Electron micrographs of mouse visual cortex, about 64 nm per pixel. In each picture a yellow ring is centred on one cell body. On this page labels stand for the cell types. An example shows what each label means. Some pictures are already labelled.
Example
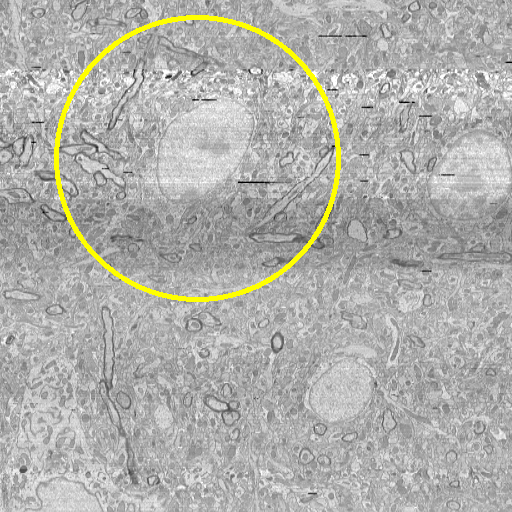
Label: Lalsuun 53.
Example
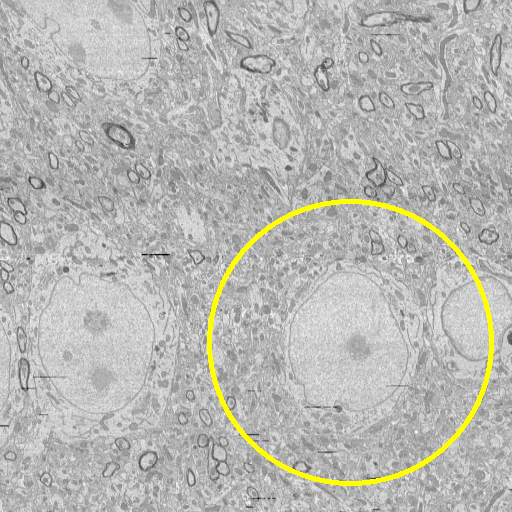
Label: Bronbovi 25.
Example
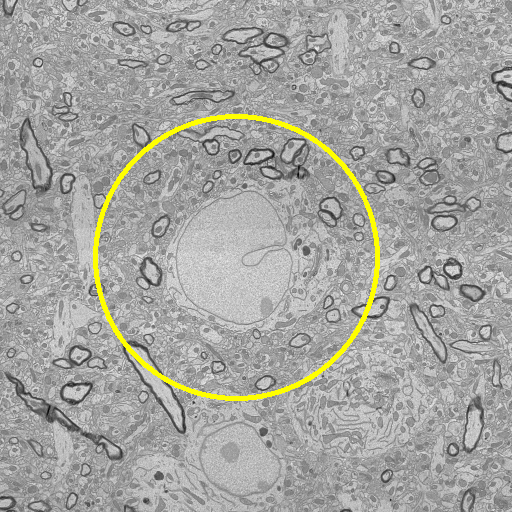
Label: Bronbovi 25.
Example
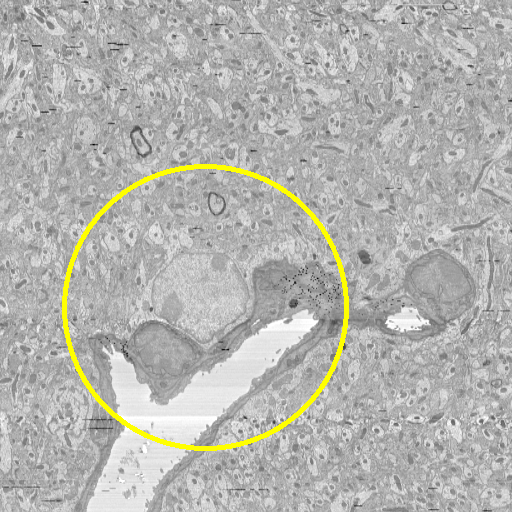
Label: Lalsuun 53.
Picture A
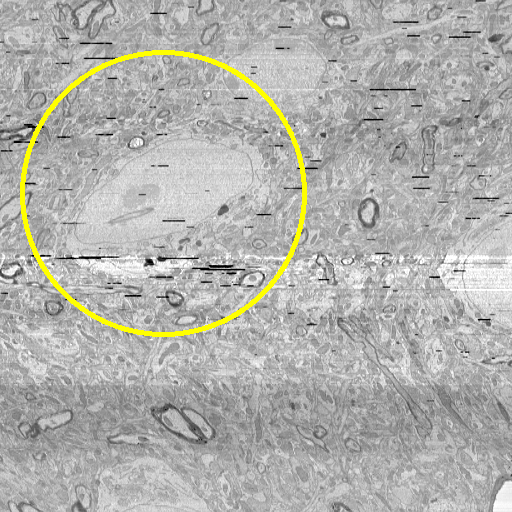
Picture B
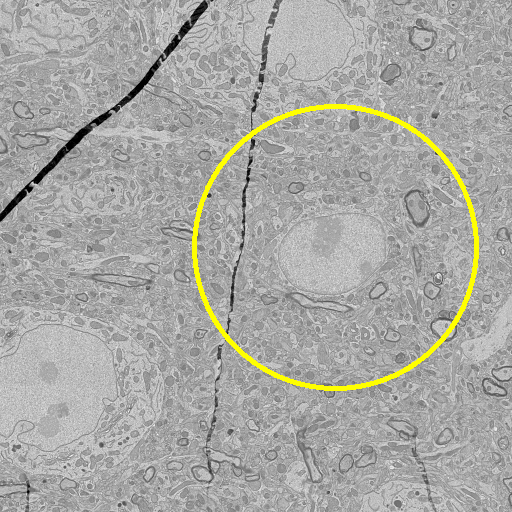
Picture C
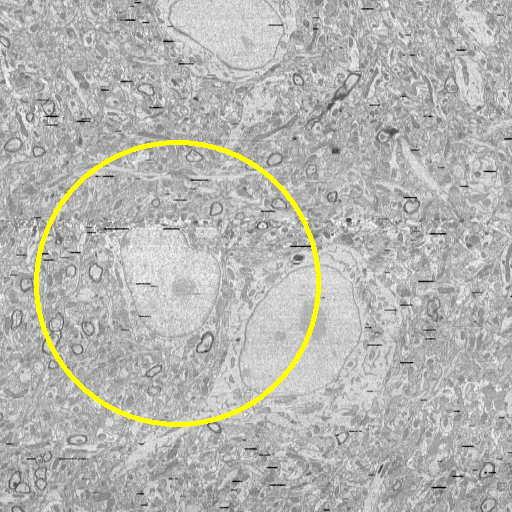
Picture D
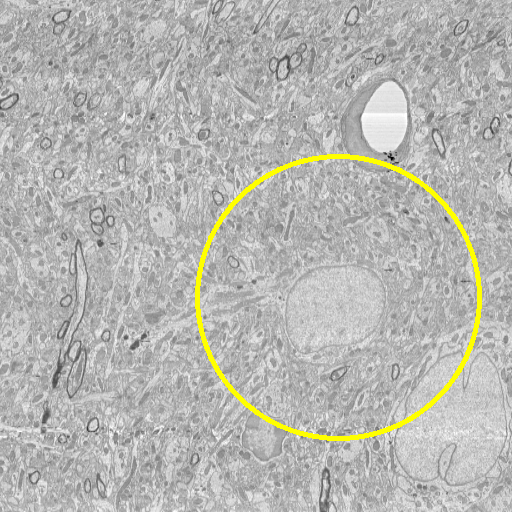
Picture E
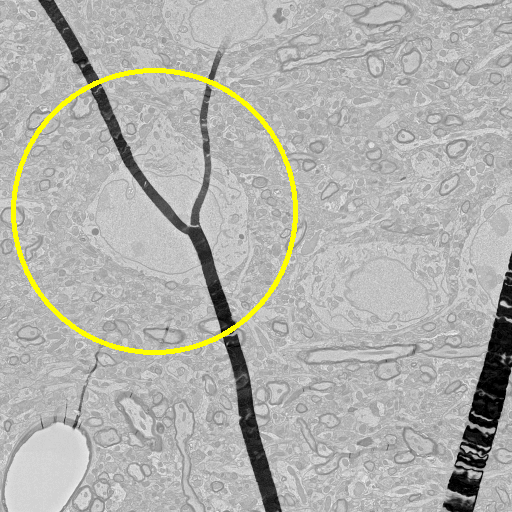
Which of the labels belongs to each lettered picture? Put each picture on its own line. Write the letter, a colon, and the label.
A: Bronbovi 25.
B: Lalsuun 53.
C: Lalsuun 53.
D: Lalsuun 53.
E: Bronbovi 25.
